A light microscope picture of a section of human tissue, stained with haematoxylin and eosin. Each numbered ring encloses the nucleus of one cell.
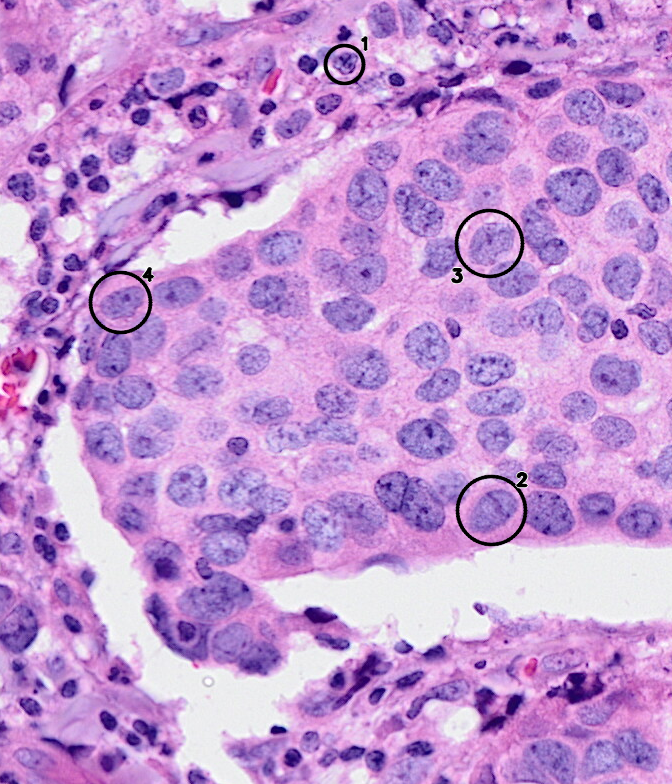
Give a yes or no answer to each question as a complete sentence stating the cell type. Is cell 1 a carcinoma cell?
No, number 1 points to a lymphocyte and not to a carcinoma cell.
